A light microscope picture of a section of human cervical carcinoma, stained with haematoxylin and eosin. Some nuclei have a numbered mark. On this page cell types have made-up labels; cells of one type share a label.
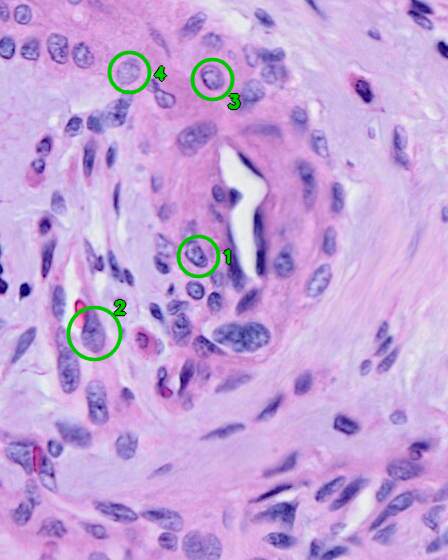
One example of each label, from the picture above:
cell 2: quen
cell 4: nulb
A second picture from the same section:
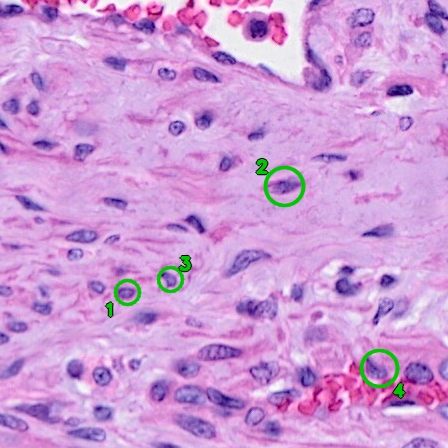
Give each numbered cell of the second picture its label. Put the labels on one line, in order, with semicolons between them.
nulb; nulb; nulb; quen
